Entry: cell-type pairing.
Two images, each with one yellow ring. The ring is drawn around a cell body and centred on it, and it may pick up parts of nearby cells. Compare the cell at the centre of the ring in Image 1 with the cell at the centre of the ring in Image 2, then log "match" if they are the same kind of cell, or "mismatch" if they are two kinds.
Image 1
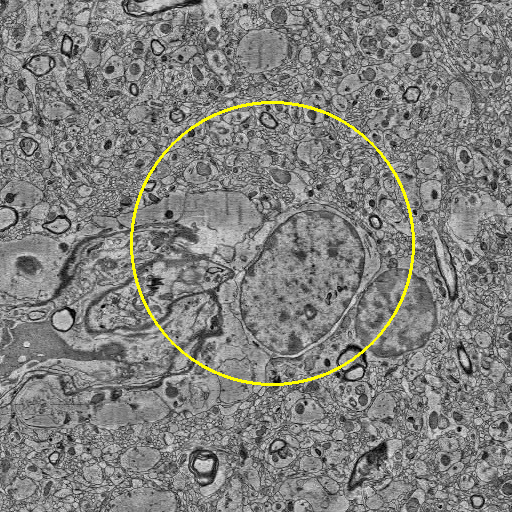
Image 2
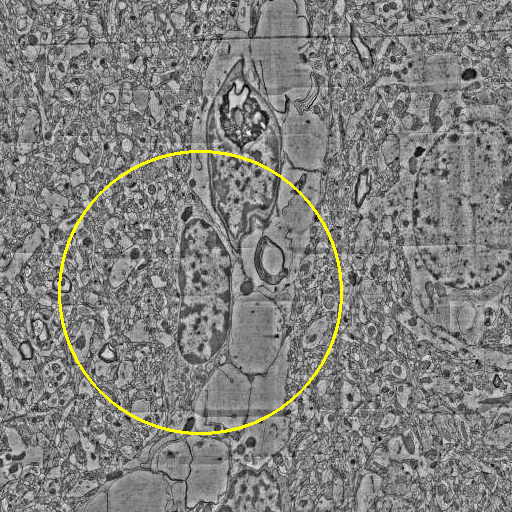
match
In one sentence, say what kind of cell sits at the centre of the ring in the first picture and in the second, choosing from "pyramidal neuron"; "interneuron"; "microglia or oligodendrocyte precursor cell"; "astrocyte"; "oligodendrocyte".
The cell at the ring centre is a microglial cell or oligodendrocyte precursor cell in both pictures.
